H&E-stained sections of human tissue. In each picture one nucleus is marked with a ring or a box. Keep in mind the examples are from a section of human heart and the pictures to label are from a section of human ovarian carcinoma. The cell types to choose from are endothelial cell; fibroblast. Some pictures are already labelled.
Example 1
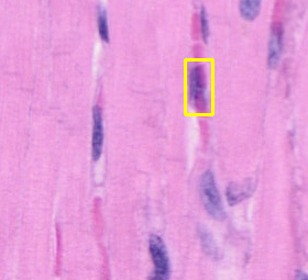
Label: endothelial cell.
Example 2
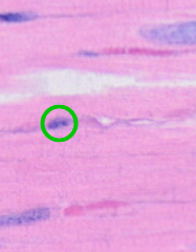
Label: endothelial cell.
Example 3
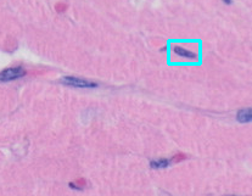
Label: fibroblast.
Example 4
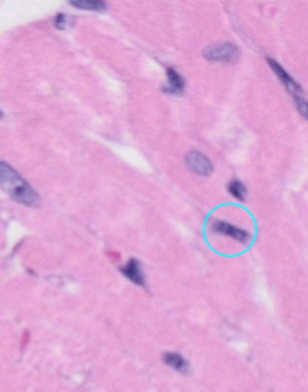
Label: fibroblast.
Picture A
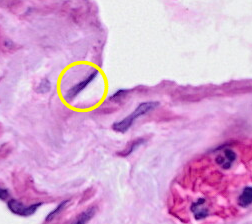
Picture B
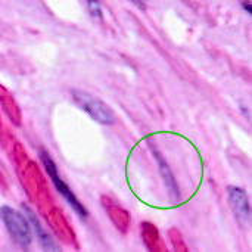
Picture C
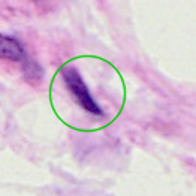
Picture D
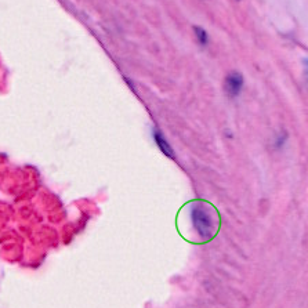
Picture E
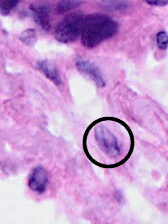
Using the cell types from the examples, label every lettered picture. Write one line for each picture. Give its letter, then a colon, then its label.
A: endothelial cell.
B: fibroblast.
C: fibroblast.
D: endothelial cell.
E: fibroblast.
